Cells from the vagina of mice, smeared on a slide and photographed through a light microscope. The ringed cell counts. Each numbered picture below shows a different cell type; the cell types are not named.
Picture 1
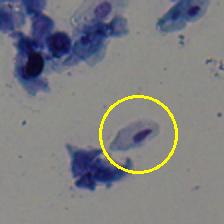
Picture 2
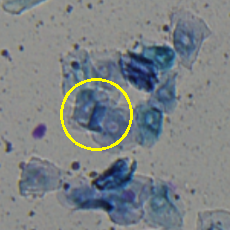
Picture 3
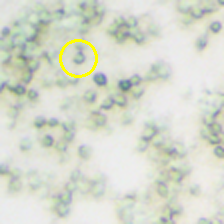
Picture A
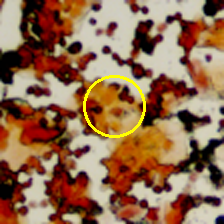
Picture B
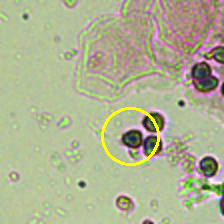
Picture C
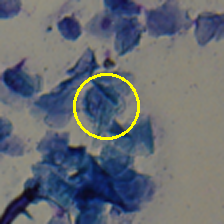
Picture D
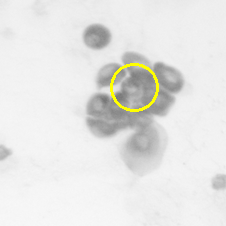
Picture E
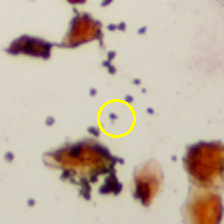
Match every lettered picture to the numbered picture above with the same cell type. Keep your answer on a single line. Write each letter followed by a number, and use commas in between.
A 1, B 3, C 2, D 1, E 3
